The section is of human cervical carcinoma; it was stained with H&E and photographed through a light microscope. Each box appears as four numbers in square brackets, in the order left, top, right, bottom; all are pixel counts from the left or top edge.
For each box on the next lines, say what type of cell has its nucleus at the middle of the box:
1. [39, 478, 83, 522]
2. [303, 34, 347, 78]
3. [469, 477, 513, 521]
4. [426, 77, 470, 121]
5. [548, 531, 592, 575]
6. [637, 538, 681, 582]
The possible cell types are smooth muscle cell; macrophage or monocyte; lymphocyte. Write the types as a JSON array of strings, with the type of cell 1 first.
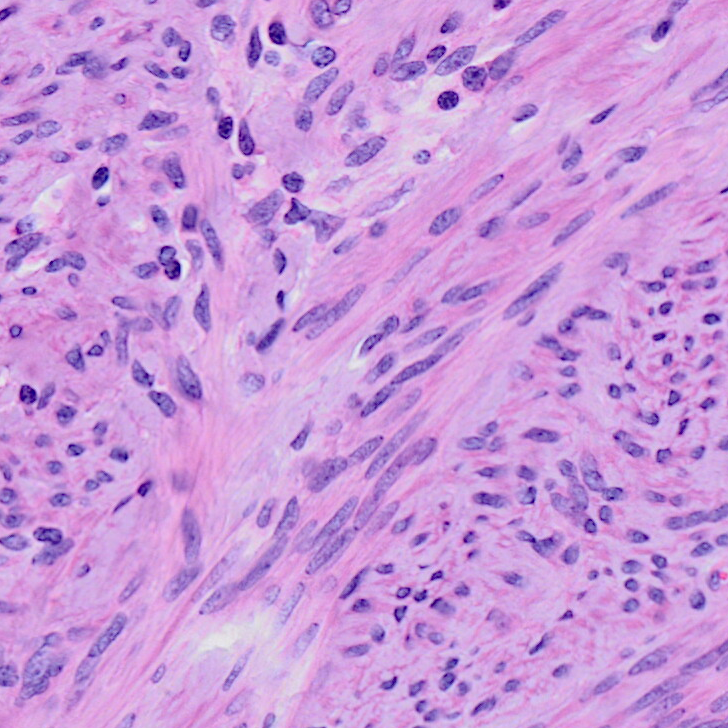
["smooth muscle cell", "lymphocyte", "smooth muscle cell", "lymphocyte", "smooth muscle cell", "smooth muscle cell"]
